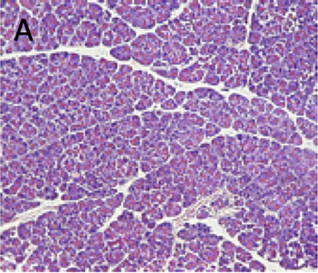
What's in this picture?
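This section of normal pancreas shows tightly packed lobules of glandular cells stained purple to pink. The cells are grouped in small rounded clusters, with dark nuclei lying toward the bases of the cells. The architecture is regular, with no necrosis or disorganised growth.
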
